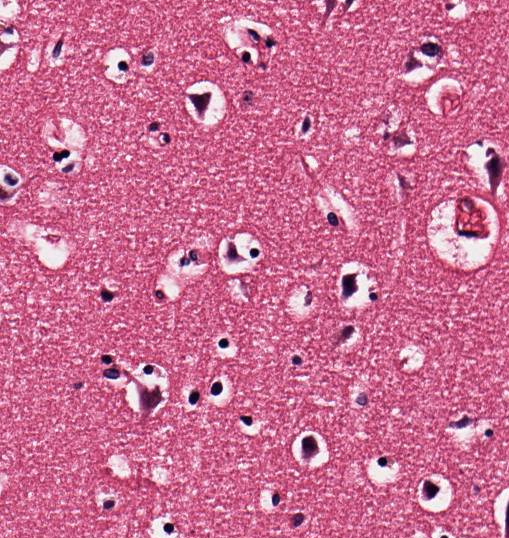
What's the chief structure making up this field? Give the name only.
cerebral cortex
